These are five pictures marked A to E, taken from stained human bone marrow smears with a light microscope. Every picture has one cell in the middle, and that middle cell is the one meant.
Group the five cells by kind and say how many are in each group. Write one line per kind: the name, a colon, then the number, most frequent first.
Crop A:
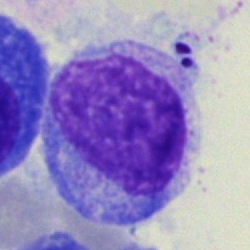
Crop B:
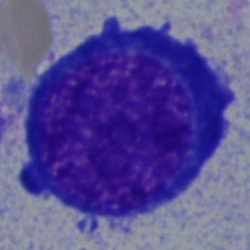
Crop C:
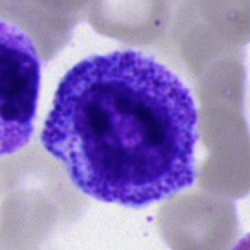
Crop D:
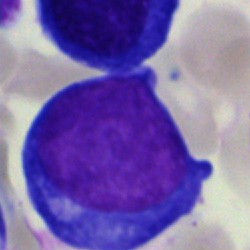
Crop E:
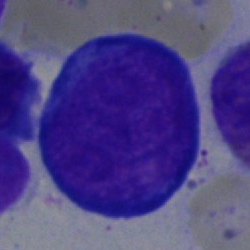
proerythroblast: 3
promyelocyte: 2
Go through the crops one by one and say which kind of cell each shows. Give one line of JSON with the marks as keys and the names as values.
{"A": "promyelocyte", "B": "proerythroblast", "C": "promyelocyte", "D": "proerythroblast", "E": "proerythroblast"}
